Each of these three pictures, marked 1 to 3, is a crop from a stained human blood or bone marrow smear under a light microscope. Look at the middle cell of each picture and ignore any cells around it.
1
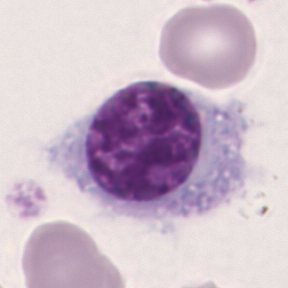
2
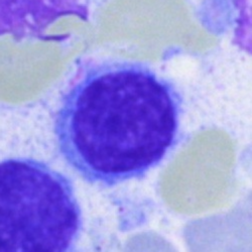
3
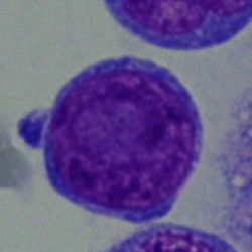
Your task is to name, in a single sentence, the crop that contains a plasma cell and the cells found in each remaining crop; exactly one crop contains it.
Summary: crop 1 shows a plasma cell, while crop 2 is a hairy cell and crop 3 is a blast.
